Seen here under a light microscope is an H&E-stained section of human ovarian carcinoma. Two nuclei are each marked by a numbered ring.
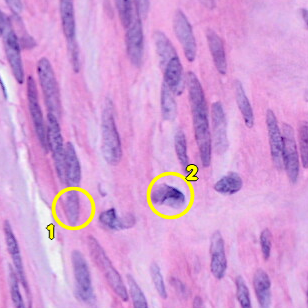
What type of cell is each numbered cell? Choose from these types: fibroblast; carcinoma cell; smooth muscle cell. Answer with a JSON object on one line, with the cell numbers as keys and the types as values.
{"1": "smooth muscle cell", "2": "fibroblast"}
